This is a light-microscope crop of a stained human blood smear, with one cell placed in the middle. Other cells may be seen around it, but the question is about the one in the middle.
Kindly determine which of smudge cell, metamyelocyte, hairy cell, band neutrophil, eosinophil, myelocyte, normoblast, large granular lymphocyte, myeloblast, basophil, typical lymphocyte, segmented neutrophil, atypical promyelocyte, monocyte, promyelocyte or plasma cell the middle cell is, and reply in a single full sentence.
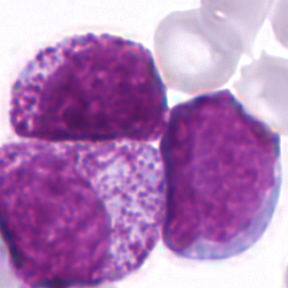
The identification for the central cell is a myelocyte.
